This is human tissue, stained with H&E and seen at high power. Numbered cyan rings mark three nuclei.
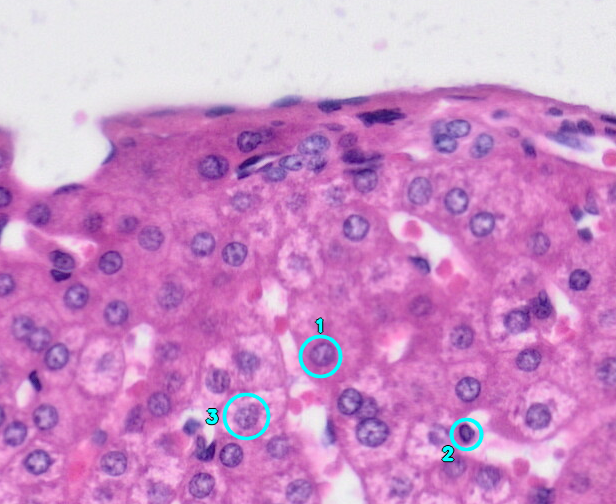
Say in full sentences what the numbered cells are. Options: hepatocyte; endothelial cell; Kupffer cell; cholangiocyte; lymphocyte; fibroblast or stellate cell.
Cell 1 is a hepatocyte, cell 2 is a Kupffer cell and cell 3 is a hepatocyte.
